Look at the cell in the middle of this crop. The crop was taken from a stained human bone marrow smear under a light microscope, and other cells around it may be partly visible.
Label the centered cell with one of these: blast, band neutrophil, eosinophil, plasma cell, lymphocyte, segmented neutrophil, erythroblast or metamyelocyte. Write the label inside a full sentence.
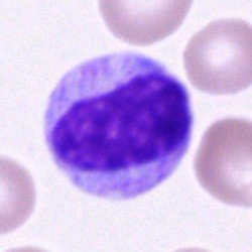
The cell in the middle of this crop is a metamyelocyte.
